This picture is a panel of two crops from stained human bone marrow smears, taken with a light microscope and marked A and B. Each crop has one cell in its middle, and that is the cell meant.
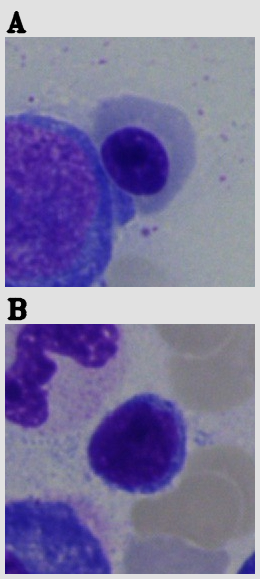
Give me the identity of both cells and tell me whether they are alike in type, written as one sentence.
No, in crop A the cell is an erythroblast, and in crop B it is a lymphocyte.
